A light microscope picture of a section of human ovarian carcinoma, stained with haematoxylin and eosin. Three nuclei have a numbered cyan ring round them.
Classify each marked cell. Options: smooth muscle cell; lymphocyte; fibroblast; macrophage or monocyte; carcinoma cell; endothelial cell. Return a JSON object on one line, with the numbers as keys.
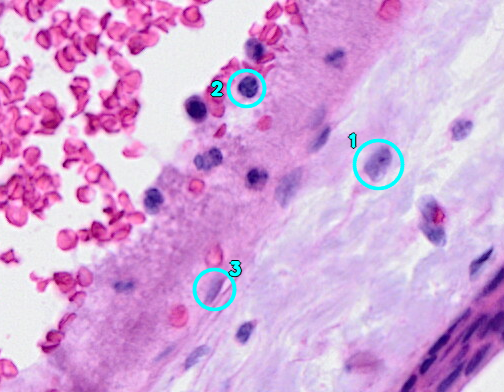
{"1": "fibroblast", "2": "lymphocyte", "3": "endothelial cell"}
